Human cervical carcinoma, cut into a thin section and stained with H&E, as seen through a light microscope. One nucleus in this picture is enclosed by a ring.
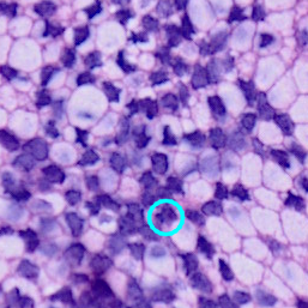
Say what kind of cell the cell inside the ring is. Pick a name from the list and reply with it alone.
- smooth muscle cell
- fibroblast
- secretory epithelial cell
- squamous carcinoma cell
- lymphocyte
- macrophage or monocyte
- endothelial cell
secretory epithelial cell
